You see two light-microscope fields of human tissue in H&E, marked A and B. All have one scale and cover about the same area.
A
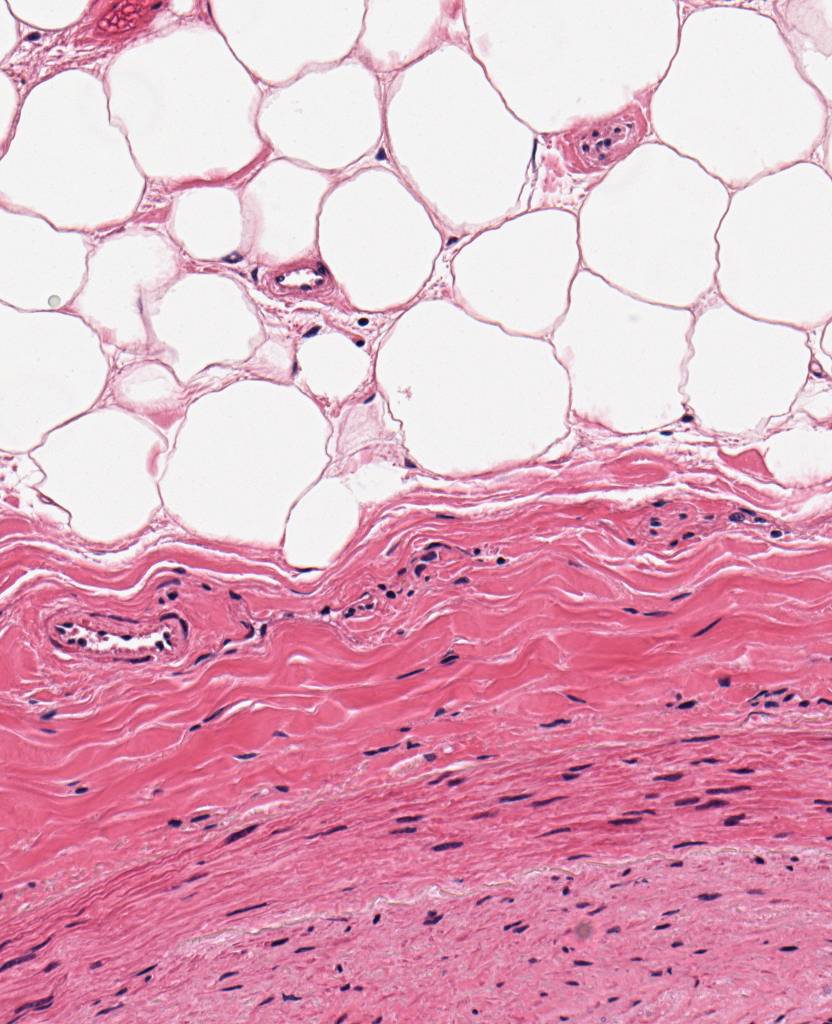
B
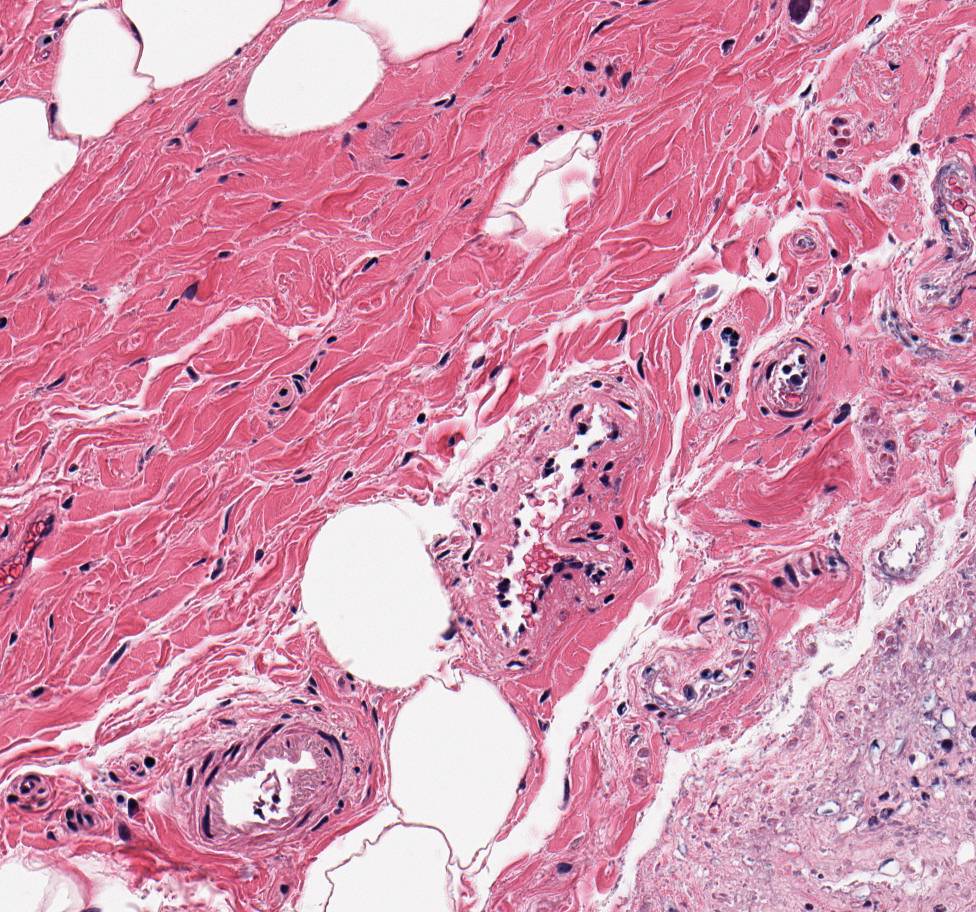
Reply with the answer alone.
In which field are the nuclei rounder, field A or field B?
B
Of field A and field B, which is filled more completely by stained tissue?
B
